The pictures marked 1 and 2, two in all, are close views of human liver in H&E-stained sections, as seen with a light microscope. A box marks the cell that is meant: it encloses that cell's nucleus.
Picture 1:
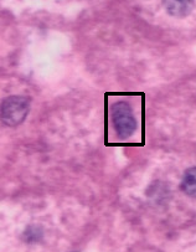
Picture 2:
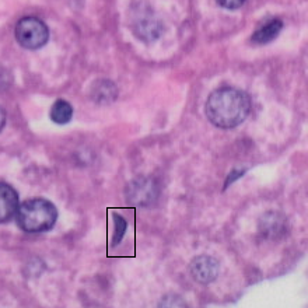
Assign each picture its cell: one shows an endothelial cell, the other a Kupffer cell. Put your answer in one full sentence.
Picture 2 shows an endothelial cell, while picture 1 shows a Kupffer cell.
